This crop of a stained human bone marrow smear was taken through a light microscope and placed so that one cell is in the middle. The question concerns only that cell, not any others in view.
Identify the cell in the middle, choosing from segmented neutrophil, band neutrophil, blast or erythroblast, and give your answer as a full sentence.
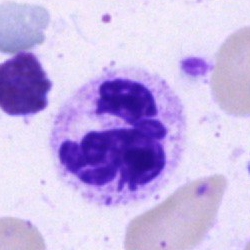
At the crop's centre, the cell is a segmented neutrophil.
